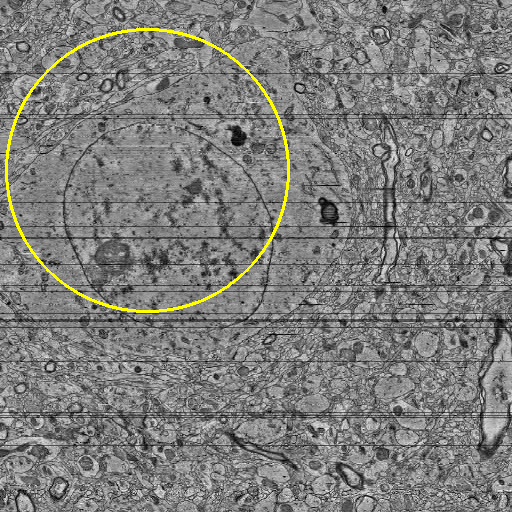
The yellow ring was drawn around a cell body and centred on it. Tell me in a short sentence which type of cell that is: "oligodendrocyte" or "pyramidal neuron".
The cell at the ring's centre is a pyramidal neuron.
